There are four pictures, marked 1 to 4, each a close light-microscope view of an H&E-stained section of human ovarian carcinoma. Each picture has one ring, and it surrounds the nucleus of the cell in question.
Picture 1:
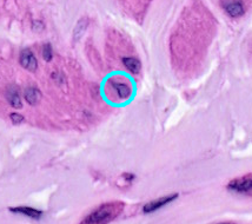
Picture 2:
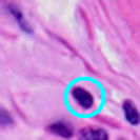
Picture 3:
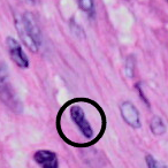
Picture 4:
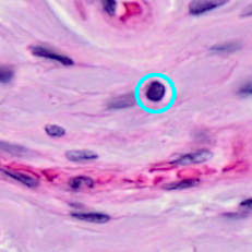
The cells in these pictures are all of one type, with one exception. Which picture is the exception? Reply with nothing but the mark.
1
